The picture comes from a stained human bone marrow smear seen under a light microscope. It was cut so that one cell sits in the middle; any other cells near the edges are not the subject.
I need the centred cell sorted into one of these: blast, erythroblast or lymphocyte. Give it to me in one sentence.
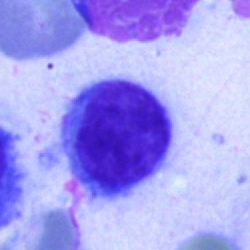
The cell that lies at the centre of the crop is a lymphocyte.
